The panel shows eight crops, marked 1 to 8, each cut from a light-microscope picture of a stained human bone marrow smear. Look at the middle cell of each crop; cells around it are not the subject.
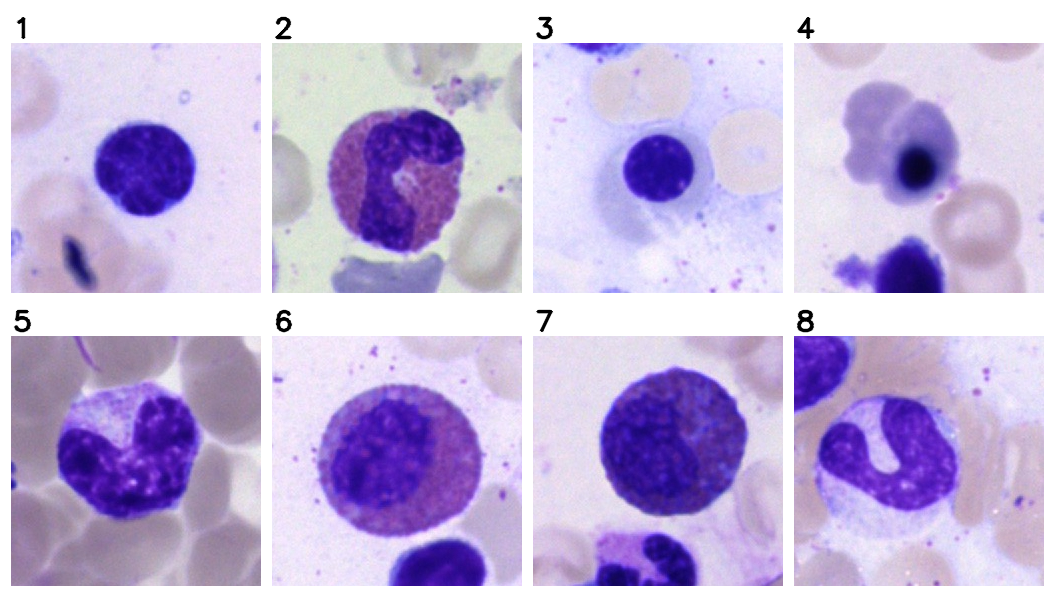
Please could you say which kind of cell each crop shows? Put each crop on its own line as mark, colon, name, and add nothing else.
1: lymphocyte
2: eosinophil
3: erythroblast
4: erythroblast
5: metamyelocyte
6: eosinophil
7: eosinophil
8: band neutrophil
